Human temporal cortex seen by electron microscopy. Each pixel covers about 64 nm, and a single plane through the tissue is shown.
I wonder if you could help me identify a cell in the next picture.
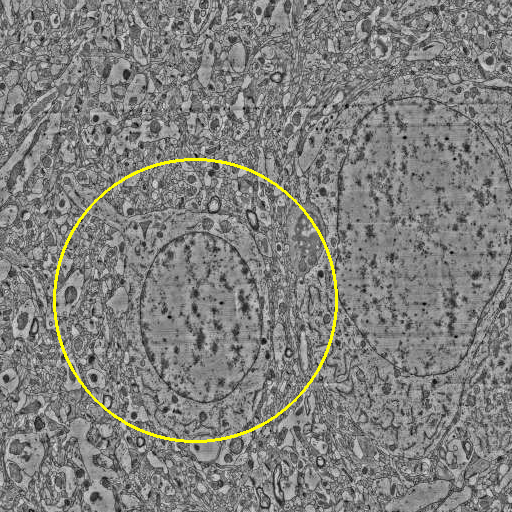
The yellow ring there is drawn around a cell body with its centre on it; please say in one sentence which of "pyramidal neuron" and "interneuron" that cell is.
The yellow ring is centred on a pyramidal neuron.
